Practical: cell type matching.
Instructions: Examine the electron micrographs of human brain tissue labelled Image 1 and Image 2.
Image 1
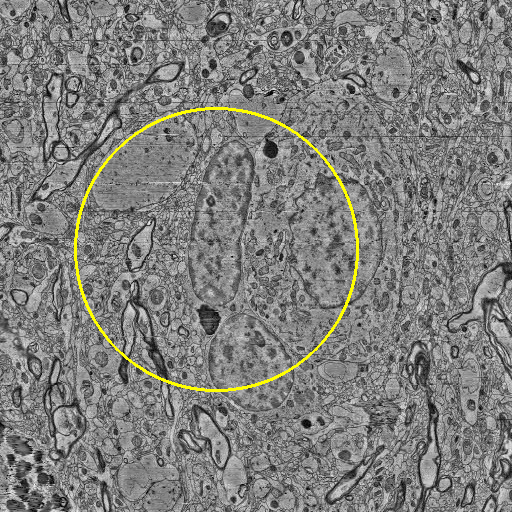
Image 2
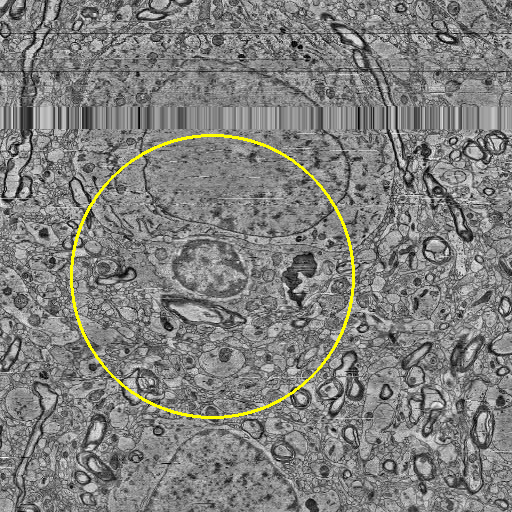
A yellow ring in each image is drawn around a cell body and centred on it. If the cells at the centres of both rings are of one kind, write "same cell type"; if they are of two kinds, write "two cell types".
same cell type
